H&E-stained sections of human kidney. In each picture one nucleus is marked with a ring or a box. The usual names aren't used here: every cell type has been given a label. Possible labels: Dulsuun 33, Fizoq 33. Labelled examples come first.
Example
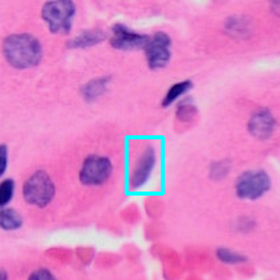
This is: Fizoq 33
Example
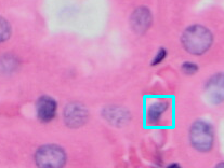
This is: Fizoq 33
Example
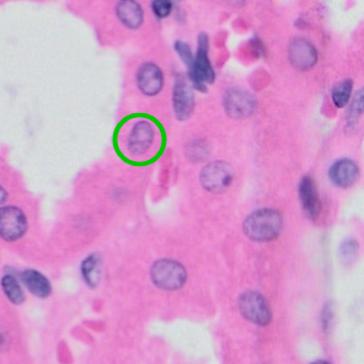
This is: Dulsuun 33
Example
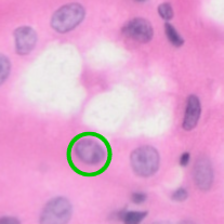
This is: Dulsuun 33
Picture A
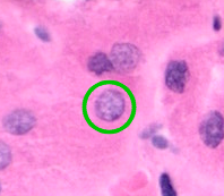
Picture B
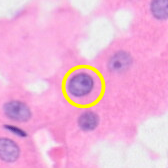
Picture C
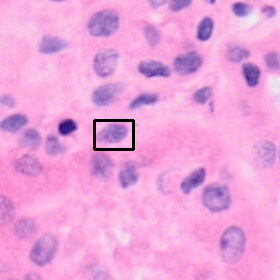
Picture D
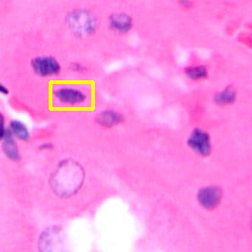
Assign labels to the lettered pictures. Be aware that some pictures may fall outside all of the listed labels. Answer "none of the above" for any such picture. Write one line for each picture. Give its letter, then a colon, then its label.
A: Dulsuun 33
B: Dulsuun 33
C: Fizoq 33
D: none of the above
